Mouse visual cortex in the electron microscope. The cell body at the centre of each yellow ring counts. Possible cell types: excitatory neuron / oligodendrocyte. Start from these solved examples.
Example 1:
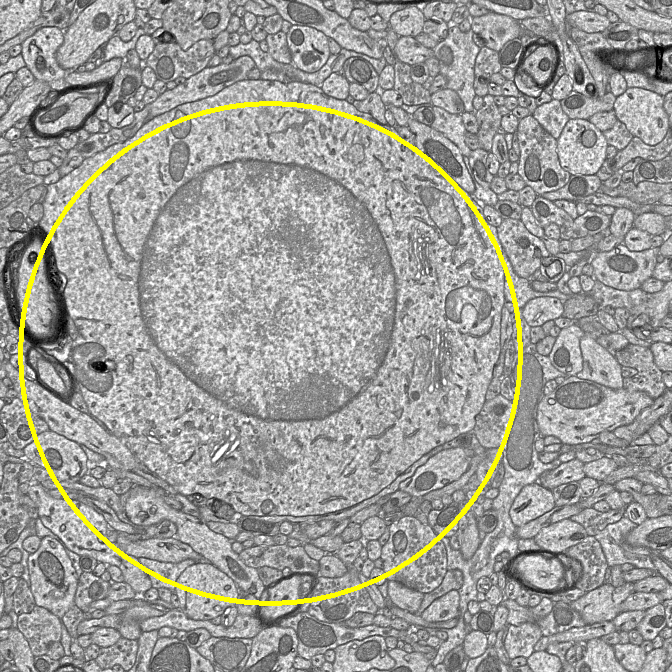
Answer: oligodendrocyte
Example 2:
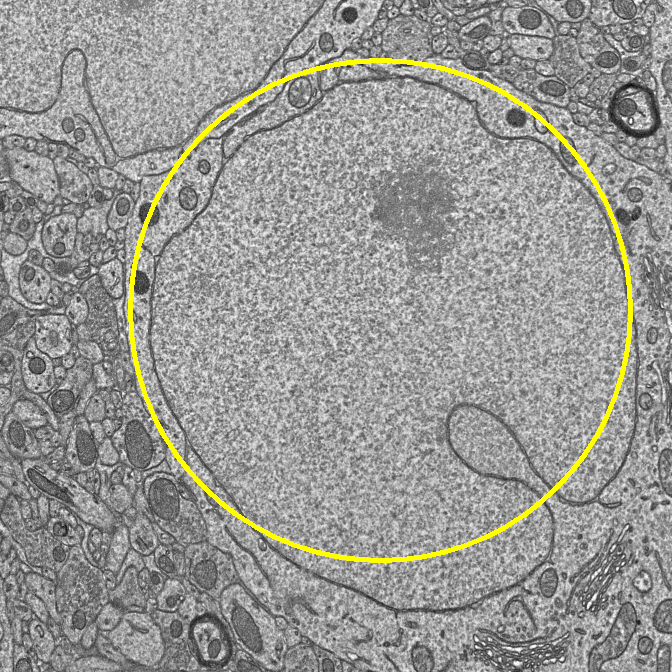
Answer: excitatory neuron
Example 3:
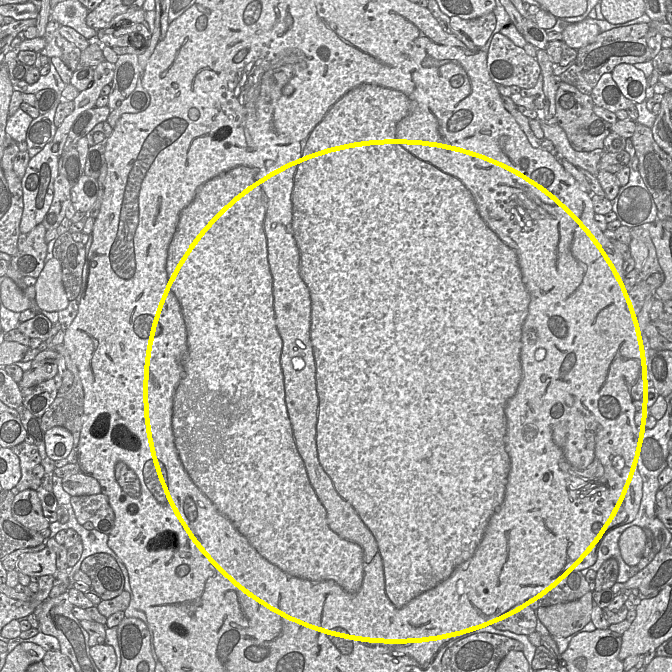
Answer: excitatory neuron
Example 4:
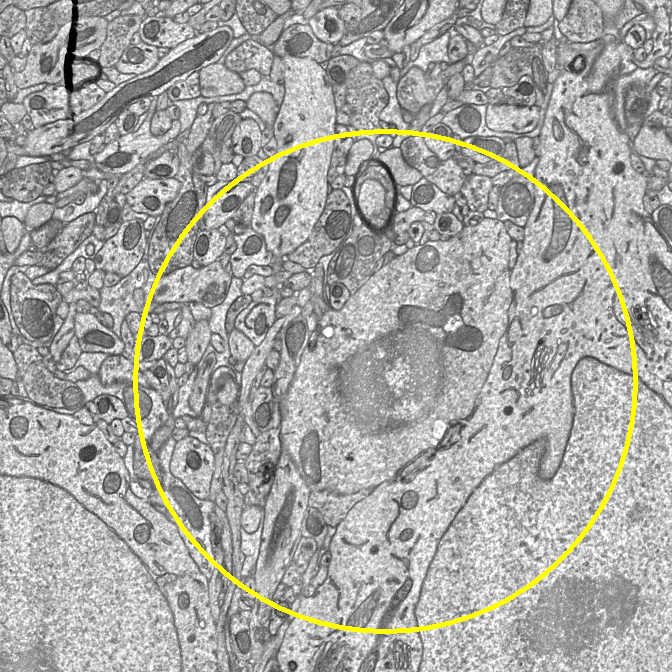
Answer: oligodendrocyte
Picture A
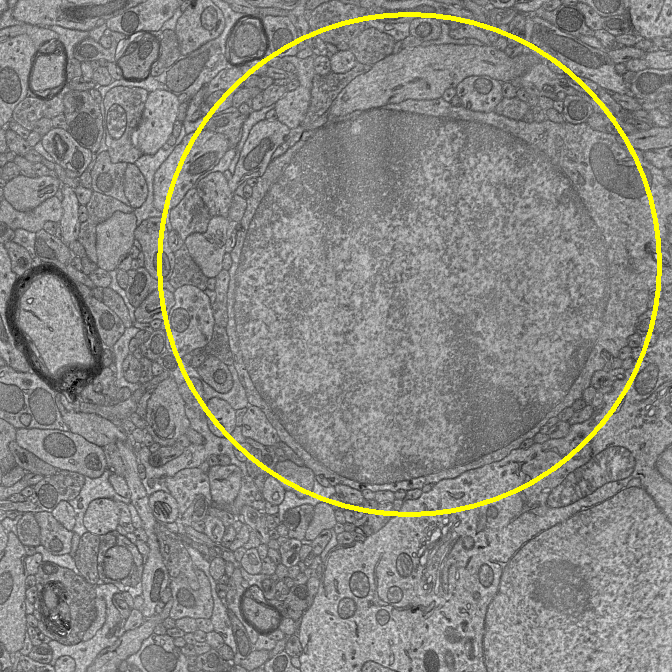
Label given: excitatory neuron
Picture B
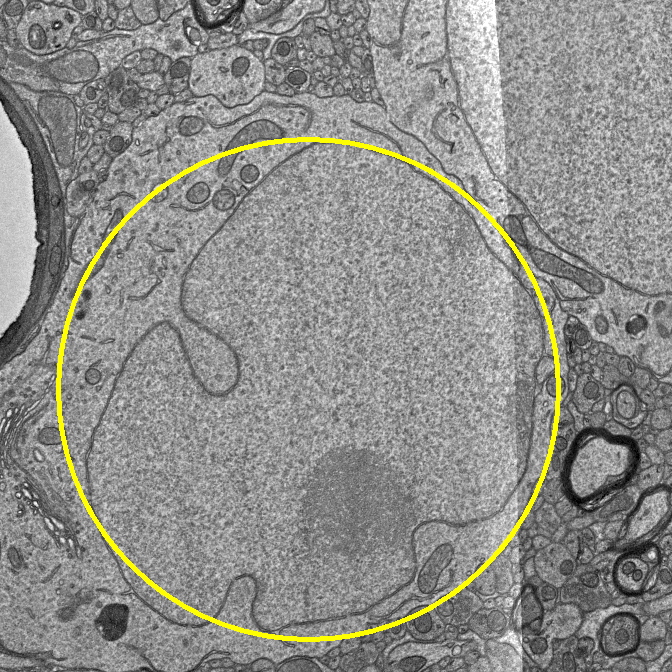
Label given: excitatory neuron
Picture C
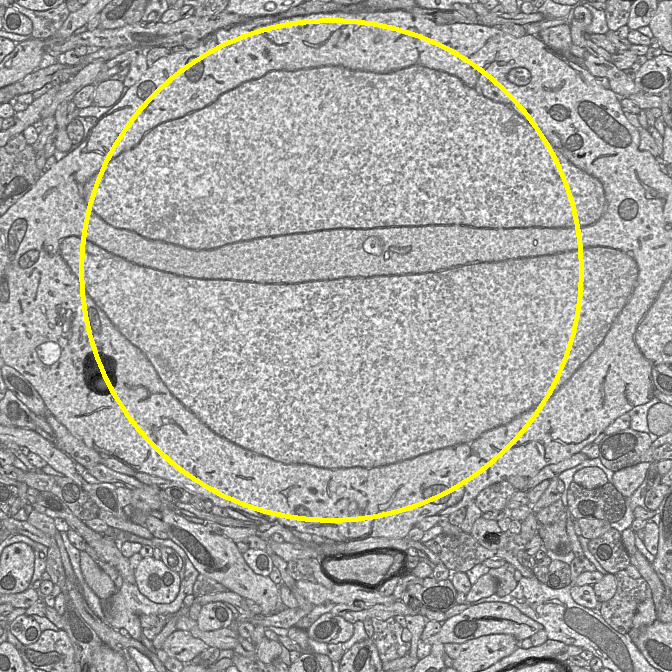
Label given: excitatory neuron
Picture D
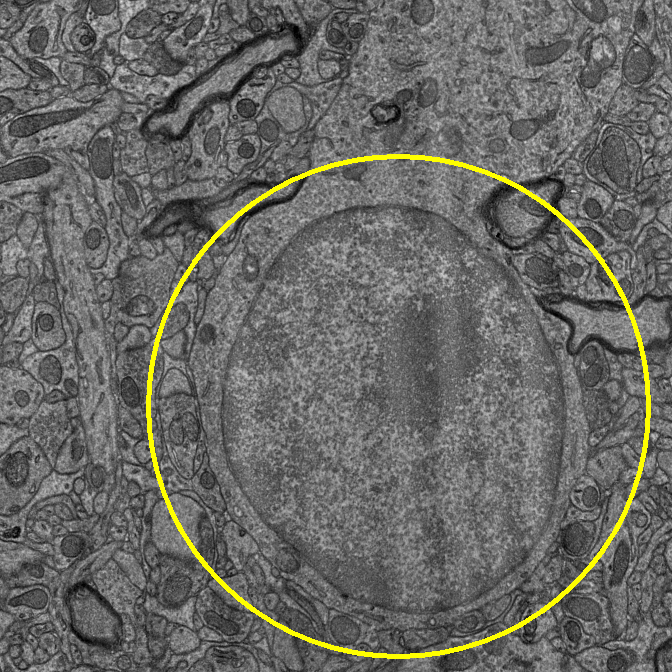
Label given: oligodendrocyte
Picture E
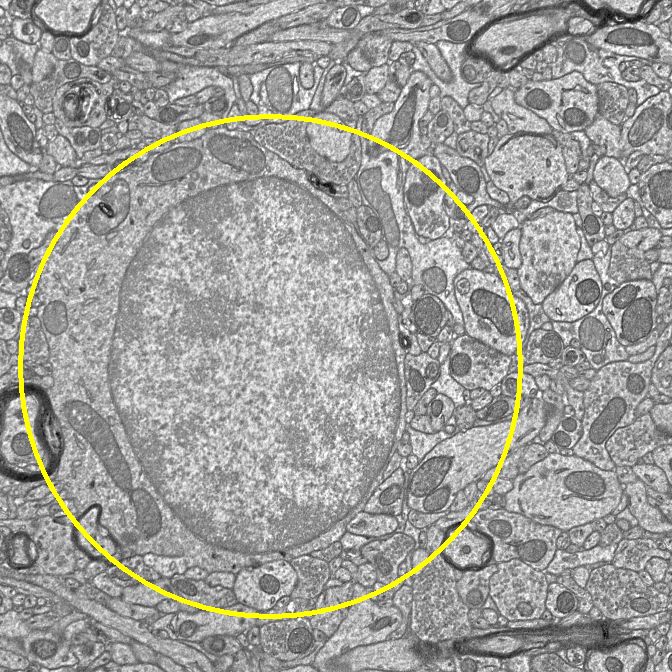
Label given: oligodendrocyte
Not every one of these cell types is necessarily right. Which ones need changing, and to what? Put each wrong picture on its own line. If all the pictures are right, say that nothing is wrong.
A: oligodendrocyte, not excitatory neuron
